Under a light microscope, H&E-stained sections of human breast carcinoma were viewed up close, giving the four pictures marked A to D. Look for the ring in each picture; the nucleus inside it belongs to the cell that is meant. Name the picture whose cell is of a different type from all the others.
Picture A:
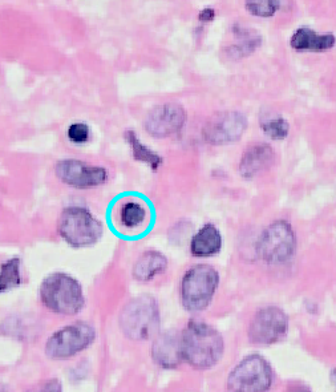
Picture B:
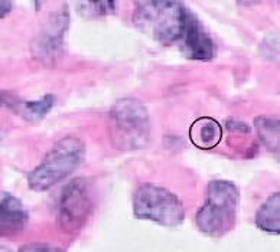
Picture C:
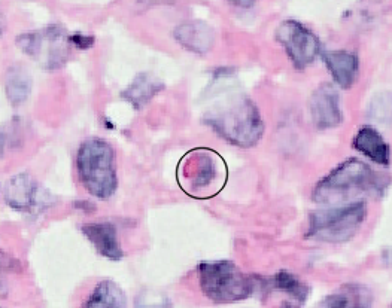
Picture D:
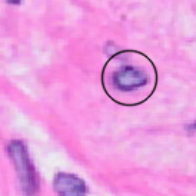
A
